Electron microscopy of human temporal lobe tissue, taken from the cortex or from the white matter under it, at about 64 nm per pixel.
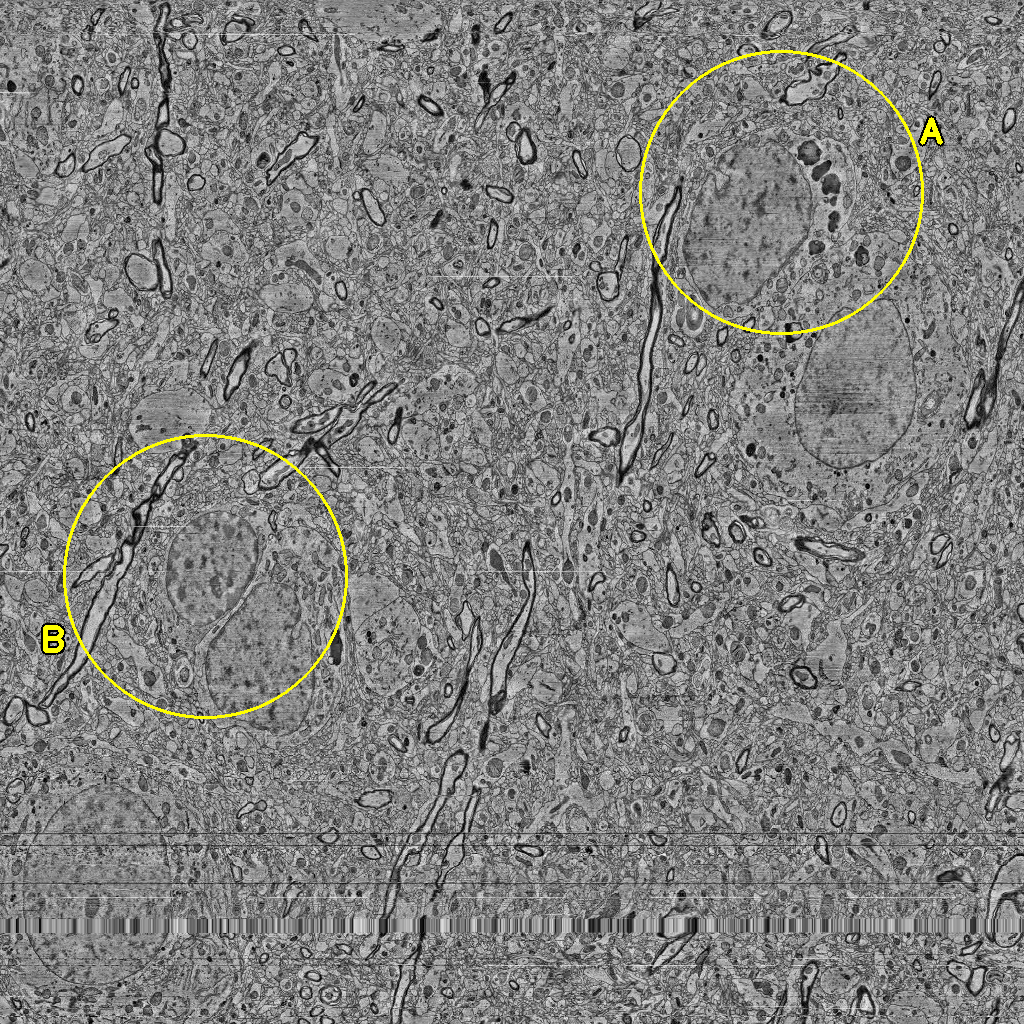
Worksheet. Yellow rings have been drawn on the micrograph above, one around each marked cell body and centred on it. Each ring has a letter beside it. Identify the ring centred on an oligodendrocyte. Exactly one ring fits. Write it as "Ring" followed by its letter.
Ring B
